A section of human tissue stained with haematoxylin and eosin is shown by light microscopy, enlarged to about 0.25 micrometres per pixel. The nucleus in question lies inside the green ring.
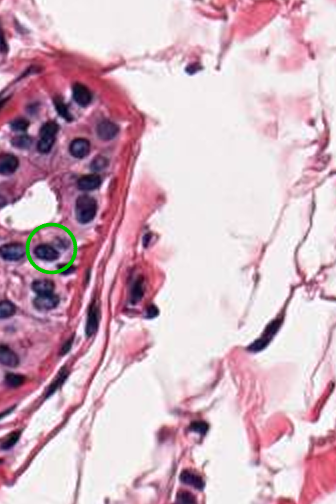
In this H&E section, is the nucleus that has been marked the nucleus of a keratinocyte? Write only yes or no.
no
